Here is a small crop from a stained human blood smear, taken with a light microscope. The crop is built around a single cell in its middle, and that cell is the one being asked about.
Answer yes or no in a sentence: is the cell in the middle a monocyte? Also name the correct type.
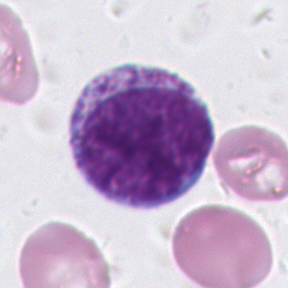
No, the central cell is not a monocyte, being instead a myelocyte.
